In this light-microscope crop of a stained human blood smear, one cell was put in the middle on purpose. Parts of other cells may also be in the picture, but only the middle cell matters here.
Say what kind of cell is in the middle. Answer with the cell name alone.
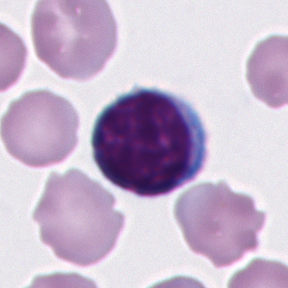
typical lymphocyte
